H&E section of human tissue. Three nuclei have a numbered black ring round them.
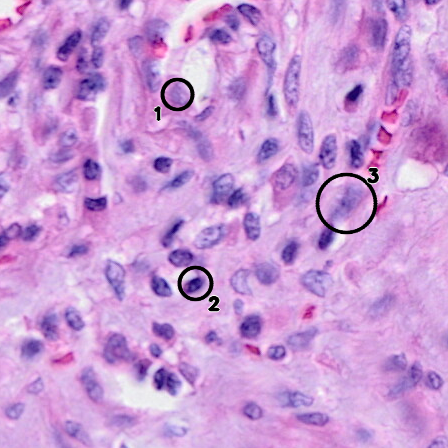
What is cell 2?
lymphocyte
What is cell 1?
endothelial cell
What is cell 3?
endothelial cell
